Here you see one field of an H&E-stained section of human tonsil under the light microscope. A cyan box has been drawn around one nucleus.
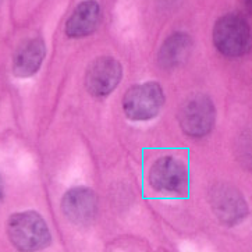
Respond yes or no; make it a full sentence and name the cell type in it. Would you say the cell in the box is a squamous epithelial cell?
Yes, it holds that the cell in the box is a squamous epithelial cell.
